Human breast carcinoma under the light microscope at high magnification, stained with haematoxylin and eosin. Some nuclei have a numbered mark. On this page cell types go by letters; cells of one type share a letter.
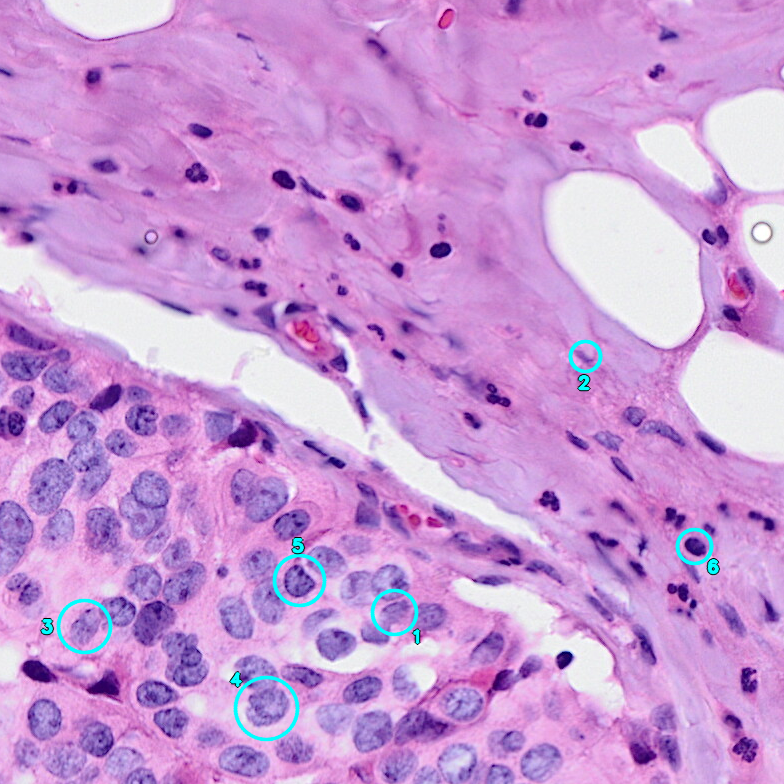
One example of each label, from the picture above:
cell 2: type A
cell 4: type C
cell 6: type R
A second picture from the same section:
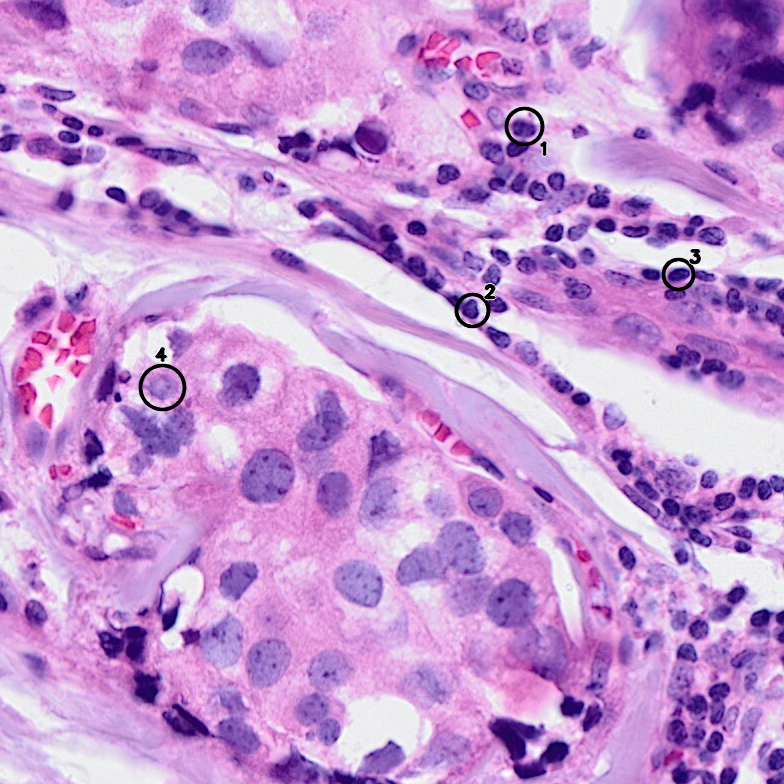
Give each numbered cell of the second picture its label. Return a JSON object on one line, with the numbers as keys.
{"1": "type R", "2": "type R", "3": "type R", "4": "type C"}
